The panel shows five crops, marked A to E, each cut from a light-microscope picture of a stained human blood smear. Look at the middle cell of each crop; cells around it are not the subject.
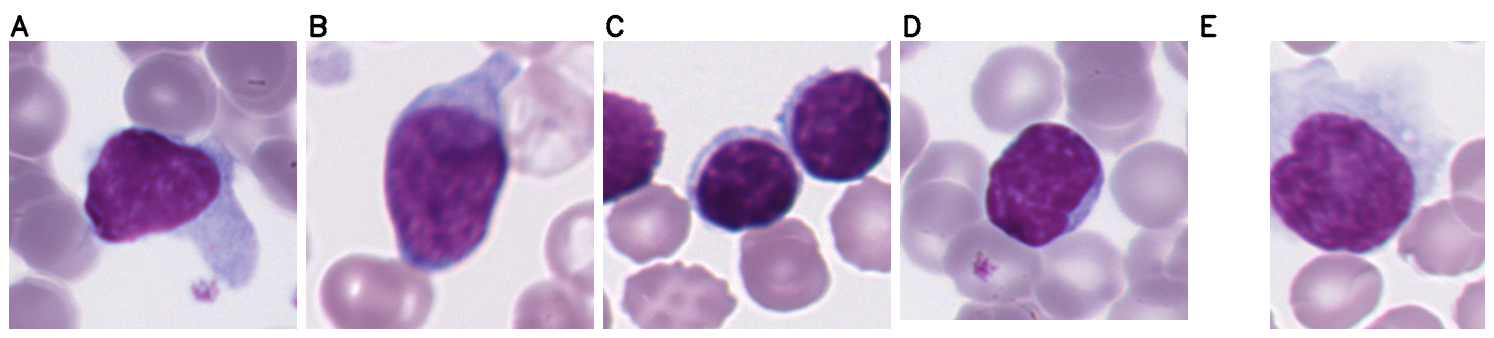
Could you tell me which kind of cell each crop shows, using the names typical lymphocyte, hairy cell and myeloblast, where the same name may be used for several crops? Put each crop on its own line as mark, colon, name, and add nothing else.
A: typical lymphocyte
B: myeloblast
C: typical lymphocyte
D: typical lymphocyte
E: hairy cell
